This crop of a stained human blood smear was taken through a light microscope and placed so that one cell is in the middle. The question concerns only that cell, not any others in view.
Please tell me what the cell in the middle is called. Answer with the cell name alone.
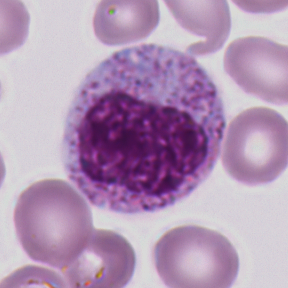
metamyelocyte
